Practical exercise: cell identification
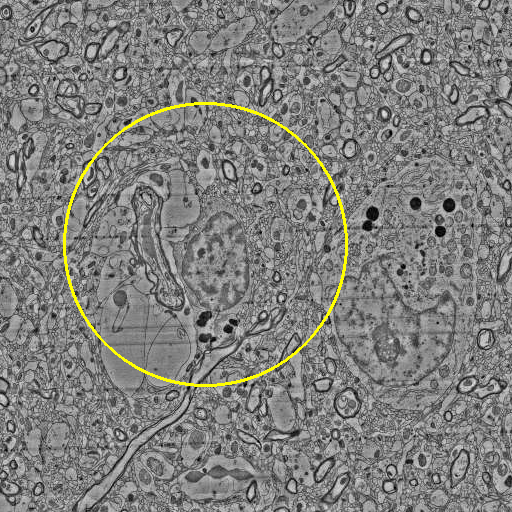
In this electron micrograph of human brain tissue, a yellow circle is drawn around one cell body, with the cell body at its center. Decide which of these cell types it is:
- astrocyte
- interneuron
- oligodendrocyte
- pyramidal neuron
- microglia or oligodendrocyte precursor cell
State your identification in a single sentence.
The ringed cell is an oligodendrocyte.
